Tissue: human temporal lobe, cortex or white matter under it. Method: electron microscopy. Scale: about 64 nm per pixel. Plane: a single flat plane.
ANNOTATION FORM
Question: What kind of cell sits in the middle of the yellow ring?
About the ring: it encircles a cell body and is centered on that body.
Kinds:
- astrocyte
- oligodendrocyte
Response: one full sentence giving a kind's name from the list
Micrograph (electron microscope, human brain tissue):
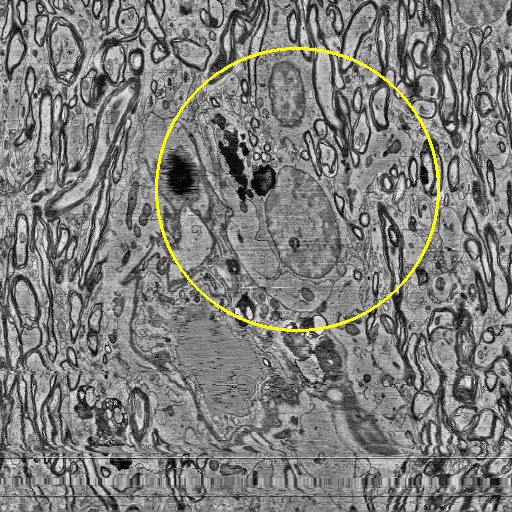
The kind of cell found at the center of the yellow ring in the micrograph is an oligodendrocyte.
